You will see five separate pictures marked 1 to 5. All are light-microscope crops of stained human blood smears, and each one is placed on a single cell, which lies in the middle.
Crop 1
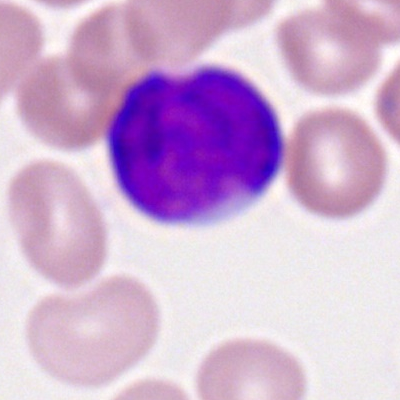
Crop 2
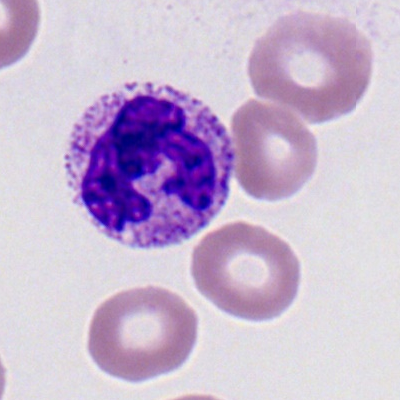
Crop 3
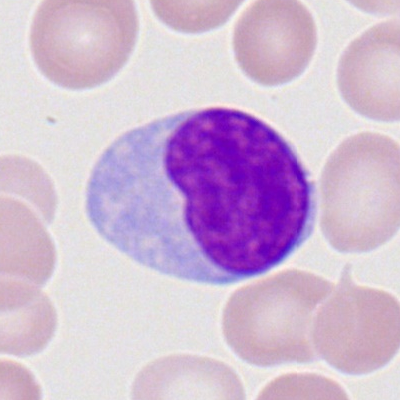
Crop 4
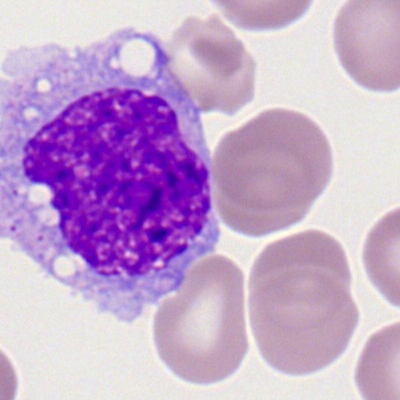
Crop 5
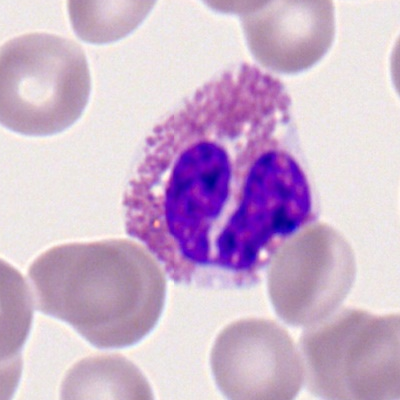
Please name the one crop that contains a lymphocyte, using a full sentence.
Crop 3 is the crop in which a lymphocyte is shown.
